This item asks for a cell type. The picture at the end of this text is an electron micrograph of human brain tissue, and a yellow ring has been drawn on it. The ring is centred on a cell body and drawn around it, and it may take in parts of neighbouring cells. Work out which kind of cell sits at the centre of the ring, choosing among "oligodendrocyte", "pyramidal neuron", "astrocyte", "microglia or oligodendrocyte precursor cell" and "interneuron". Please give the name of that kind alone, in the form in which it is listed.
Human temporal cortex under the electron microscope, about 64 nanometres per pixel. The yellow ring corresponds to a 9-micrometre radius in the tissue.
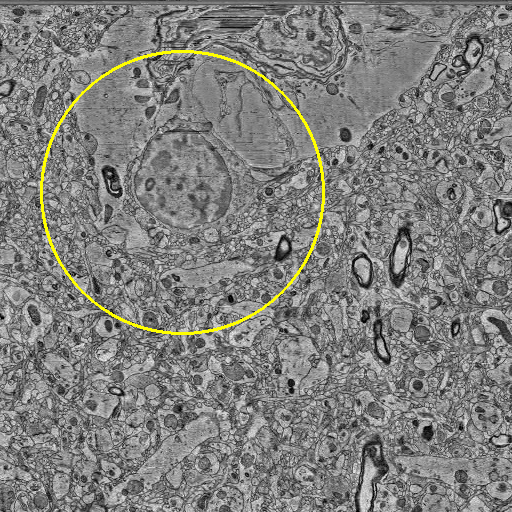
oligodendrocyte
